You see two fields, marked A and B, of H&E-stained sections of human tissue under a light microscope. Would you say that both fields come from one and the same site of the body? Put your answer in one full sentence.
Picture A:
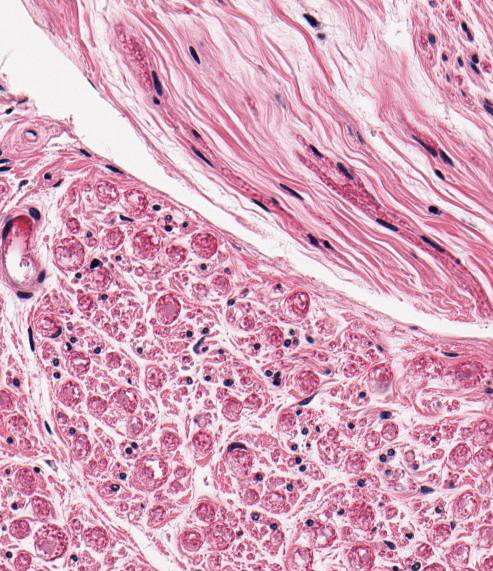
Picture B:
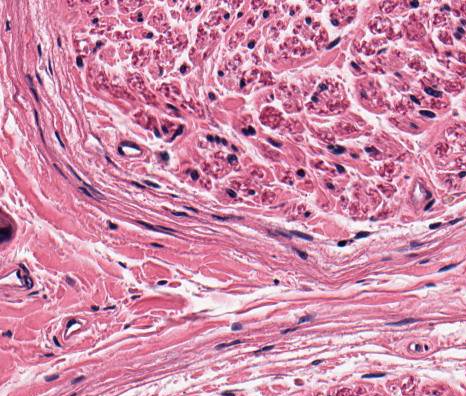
Yes, both come from the tibial nerve.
